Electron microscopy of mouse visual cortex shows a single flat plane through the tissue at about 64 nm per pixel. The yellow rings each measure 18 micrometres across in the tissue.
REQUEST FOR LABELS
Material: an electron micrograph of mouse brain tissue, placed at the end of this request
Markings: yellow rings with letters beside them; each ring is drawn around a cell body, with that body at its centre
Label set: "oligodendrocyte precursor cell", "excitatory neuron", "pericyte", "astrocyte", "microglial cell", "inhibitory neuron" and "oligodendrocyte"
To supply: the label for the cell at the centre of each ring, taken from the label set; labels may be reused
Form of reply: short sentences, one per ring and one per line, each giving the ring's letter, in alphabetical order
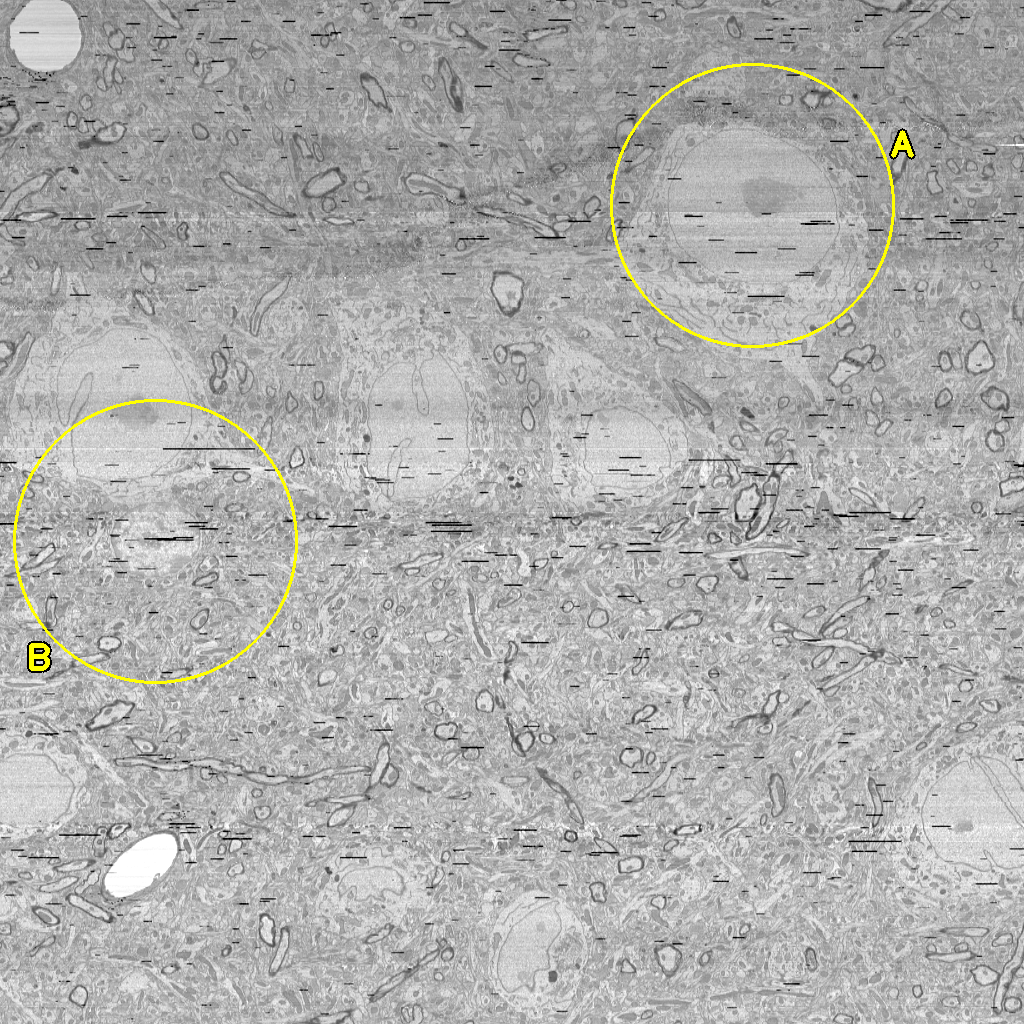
Ring A: the cell in the middle is an excitatory neuron.
Ring B: the cell in the middle is an oligodendrocyte.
